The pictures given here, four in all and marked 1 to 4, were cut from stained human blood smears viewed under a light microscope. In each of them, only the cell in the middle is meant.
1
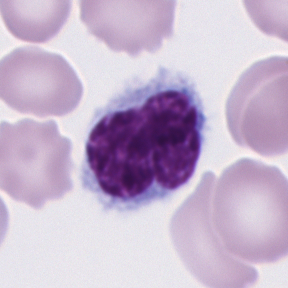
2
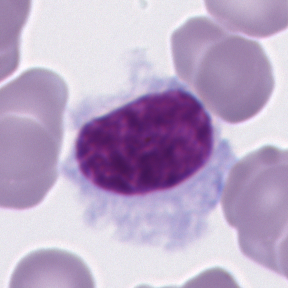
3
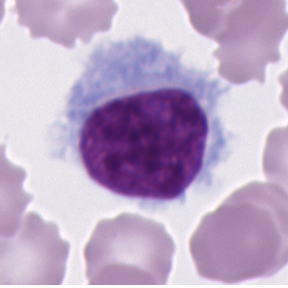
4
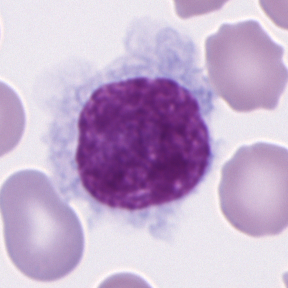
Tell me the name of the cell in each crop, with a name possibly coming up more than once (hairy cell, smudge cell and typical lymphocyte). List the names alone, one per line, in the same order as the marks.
hairy cell
hairy cell
hairy cell
hairy cell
